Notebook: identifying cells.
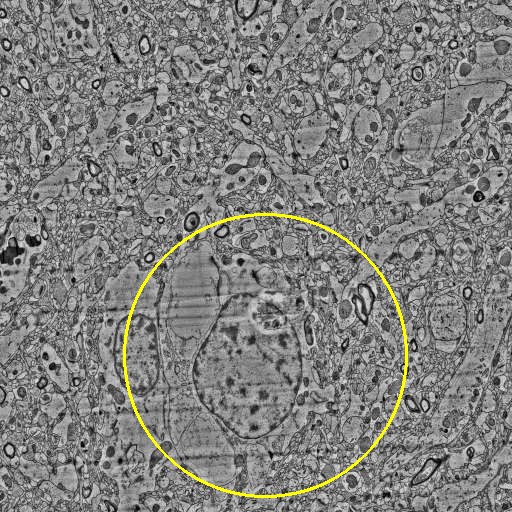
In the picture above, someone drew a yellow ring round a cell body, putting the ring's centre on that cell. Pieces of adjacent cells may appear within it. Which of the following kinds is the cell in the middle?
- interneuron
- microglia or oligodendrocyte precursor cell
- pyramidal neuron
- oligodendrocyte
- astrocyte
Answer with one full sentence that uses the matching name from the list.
In this picture, the yellow ring is centred on the body of an astrocyte.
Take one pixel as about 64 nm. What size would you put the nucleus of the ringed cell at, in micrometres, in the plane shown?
Roughly 9 micrometres by 7 micrometres, in this plane.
